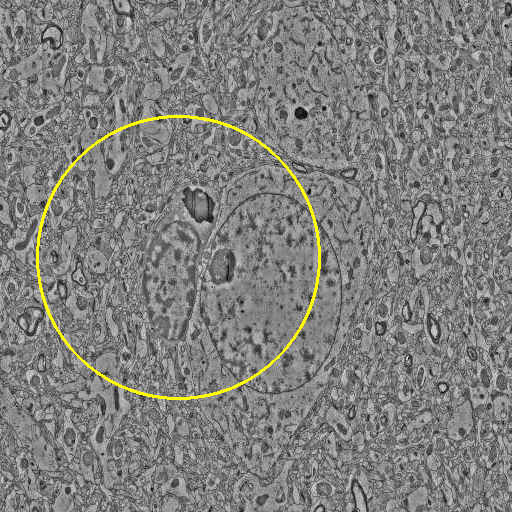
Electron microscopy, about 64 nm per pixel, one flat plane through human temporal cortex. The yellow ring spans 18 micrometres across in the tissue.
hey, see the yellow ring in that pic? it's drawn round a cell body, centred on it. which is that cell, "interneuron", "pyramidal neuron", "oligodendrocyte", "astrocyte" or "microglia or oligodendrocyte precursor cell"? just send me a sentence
The cell in the ring is an oligodendrocyte.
